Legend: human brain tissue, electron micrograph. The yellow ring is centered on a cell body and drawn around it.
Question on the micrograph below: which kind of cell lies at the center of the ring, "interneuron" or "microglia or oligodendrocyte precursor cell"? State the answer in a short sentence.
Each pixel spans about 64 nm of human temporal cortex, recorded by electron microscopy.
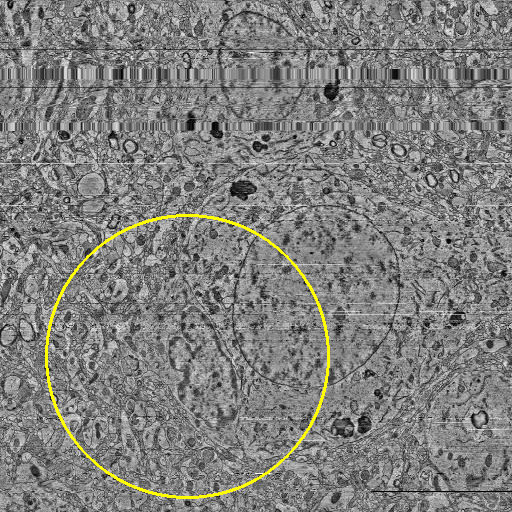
At the center of the ring lies a microglial cell or oligodendrocyte precursor cell.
